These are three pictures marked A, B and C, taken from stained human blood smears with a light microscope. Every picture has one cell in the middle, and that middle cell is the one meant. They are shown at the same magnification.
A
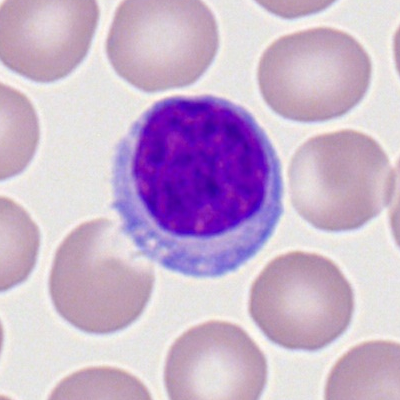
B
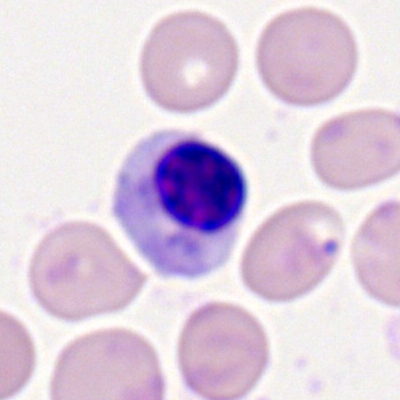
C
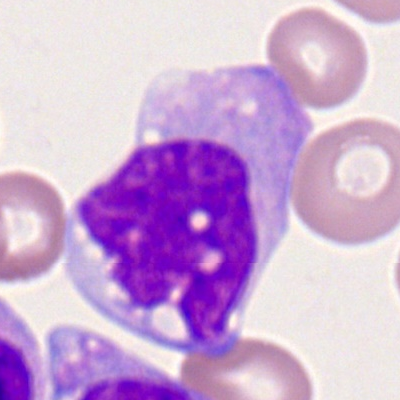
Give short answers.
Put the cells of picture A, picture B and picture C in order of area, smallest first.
B, A, C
